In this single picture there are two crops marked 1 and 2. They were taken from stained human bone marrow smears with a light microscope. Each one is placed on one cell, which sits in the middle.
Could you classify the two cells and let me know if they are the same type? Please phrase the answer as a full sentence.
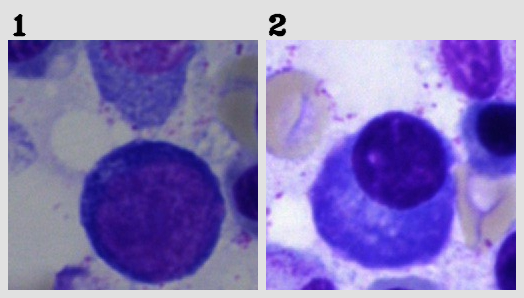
No, crop 1 represents a proerythroblast, and crop 2 represents a plasma cell.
